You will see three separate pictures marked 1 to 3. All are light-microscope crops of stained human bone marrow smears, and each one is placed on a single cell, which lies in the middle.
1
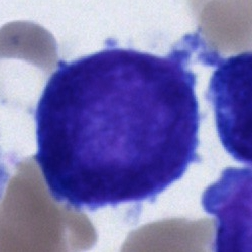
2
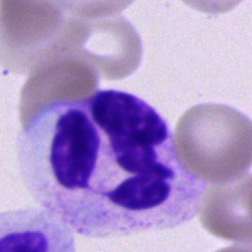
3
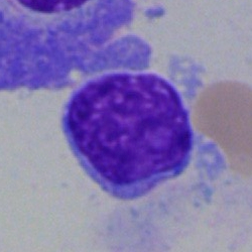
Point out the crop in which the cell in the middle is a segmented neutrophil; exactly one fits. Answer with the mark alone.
2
